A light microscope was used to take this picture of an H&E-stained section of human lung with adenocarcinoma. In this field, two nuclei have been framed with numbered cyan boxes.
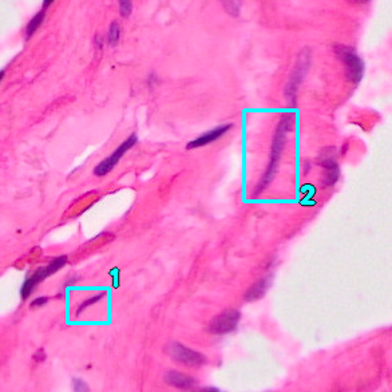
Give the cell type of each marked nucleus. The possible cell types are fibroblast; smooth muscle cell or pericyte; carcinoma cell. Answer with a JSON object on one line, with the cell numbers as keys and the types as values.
{"1": "fibroblast", "2": "smooth muscle cell or pericyte"}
